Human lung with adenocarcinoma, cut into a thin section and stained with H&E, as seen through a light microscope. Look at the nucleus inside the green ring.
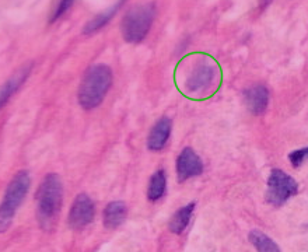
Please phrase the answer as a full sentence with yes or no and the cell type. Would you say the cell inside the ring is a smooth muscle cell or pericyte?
Yes, the identification stands: the cell inside the ring is a smooth muscle cell or pericyte.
